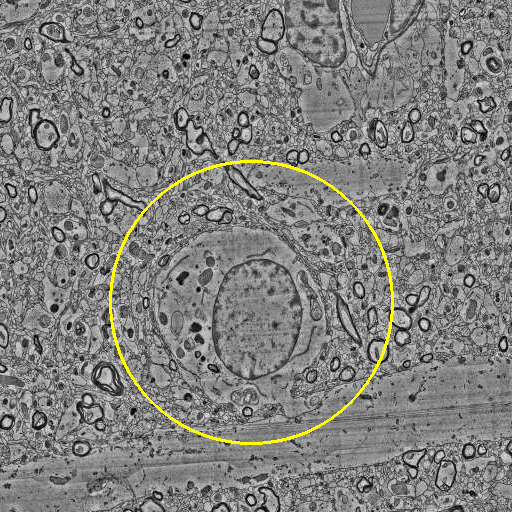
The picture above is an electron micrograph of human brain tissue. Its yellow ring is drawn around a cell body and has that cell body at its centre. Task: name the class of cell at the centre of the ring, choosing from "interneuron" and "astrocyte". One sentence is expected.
The ring surrounds the body of an astrocyte.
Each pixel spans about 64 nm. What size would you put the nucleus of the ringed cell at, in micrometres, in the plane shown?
In this plane, about 8 micrometres in length and 6 in width.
